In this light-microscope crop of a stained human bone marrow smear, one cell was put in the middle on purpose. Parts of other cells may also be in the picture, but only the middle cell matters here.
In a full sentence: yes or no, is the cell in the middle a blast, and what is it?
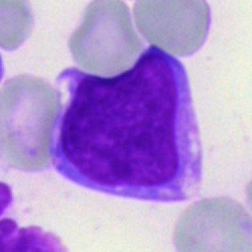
Yes, the cell occupying the middle of the crop is a blast.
